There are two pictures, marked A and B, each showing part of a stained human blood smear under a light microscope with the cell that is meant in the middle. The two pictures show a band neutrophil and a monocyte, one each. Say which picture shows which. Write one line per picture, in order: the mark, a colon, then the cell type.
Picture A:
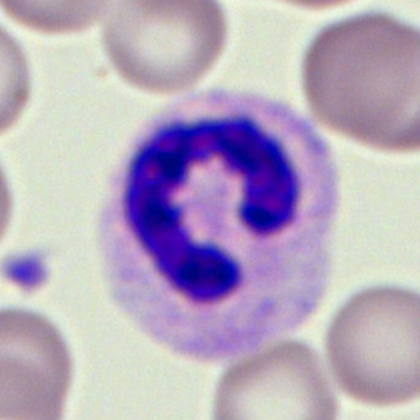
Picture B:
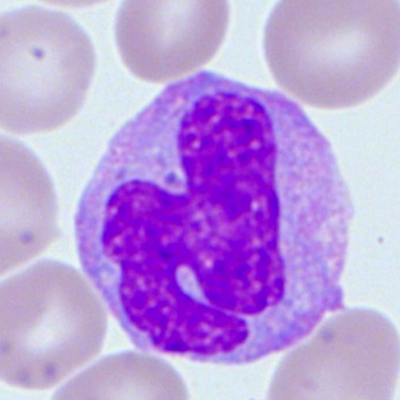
A: band neutrophil
B: monocyte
